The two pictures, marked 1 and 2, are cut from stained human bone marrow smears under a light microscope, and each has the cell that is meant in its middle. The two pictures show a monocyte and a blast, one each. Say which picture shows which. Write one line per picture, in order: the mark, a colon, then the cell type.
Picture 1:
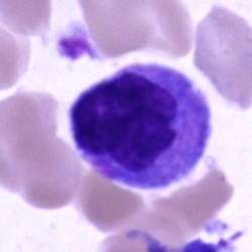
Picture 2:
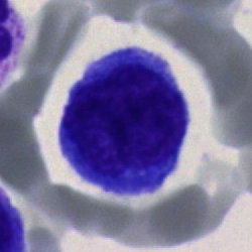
1: monocyte
2: blast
